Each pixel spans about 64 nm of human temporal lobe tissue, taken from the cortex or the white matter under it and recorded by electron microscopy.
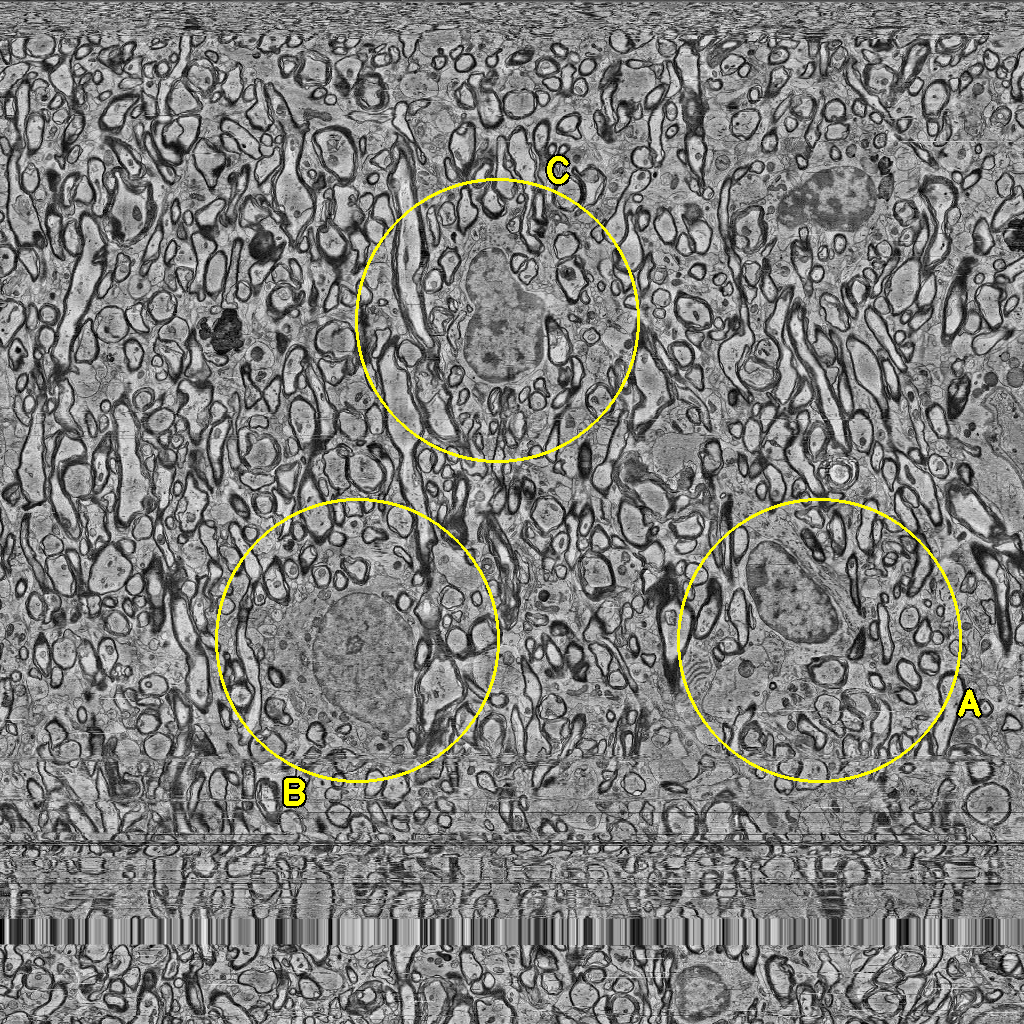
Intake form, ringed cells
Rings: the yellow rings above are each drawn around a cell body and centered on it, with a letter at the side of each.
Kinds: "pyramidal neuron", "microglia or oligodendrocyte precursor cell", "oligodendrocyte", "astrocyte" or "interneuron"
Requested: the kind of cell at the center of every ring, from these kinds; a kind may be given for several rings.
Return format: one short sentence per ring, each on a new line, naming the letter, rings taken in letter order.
In the center of ring A there is a microglial cell or oligodendrocyte precursor cell.
In the center of ring B there is an oligodendrocyte.
In the center of ring C there is a microglial cell or oligodendrocyte precursor cell.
